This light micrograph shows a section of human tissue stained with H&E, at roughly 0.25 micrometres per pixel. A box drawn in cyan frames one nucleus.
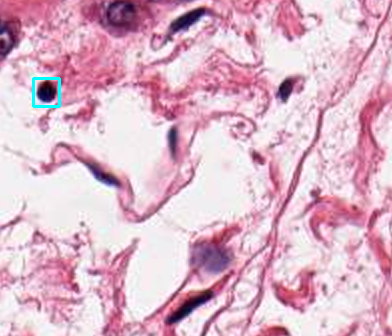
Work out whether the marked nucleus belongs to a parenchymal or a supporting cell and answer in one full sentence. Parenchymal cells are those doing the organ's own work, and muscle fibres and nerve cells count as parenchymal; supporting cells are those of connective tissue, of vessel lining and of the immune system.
The marked nucleus forms part of a supporting cell.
